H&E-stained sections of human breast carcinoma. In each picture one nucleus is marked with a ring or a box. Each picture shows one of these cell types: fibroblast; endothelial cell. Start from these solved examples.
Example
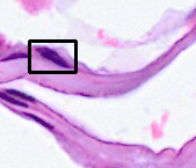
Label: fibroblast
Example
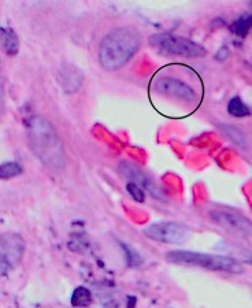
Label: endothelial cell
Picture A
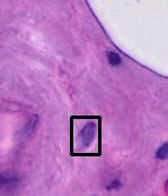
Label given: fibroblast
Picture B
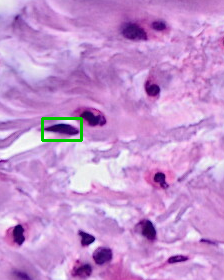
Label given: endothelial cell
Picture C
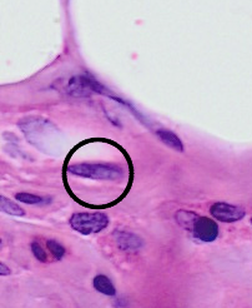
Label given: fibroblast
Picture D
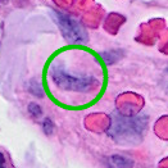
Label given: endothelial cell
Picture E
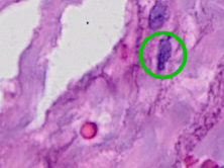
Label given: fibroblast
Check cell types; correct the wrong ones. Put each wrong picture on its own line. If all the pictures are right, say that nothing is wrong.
B is labelled endothelial cell; correct label: fibroblast
C is labelled fibroblast; correct label: endothelial cell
